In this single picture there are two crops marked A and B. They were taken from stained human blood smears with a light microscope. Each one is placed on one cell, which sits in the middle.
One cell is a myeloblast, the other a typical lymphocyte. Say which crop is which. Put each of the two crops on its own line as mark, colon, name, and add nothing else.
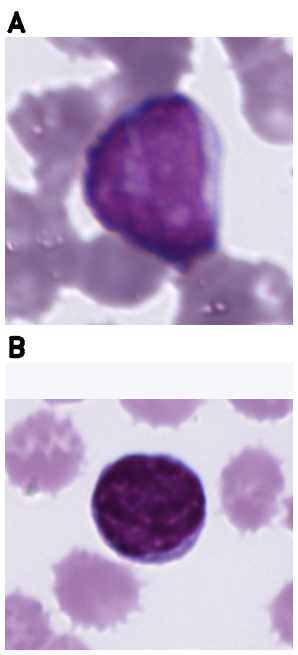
A: myeloblast
B: typical lymphocyte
